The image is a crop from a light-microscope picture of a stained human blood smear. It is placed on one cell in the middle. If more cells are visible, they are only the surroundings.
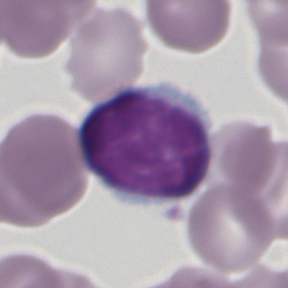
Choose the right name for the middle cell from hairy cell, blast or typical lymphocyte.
typical lymphocyte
